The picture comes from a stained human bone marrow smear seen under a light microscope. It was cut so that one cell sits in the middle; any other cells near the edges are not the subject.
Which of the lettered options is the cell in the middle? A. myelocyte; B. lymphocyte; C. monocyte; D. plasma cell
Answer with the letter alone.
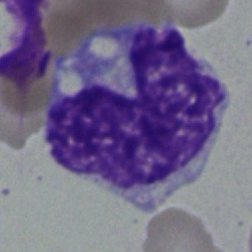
C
